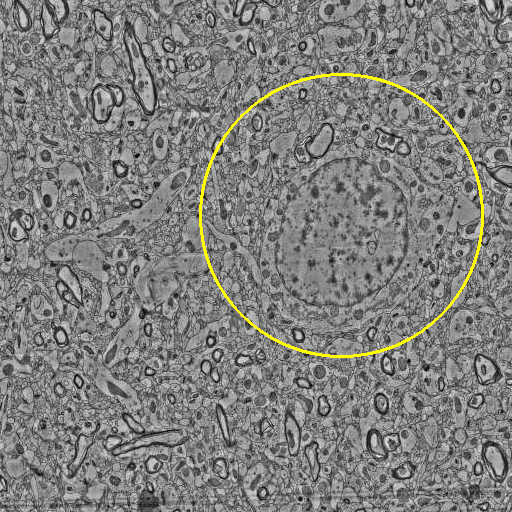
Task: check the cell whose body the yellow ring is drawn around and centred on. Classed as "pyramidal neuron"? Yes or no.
No, it belongs to another class.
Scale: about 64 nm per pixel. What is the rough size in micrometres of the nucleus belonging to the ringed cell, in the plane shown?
The nucleus is approximately 10 micrometers long by 8 micrometers wide in this plane.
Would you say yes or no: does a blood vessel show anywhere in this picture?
No, the picture includes no blood vessel.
